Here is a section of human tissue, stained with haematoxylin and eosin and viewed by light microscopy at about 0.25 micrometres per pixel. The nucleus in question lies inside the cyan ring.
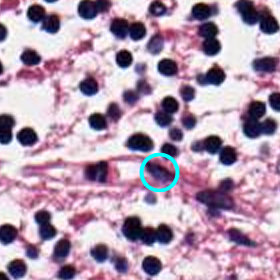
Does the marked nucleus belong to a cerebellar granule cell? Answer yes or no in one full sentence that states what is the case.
No, what carries the marked nucleus is a supporting cell rather than a cerebellar granule cell.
